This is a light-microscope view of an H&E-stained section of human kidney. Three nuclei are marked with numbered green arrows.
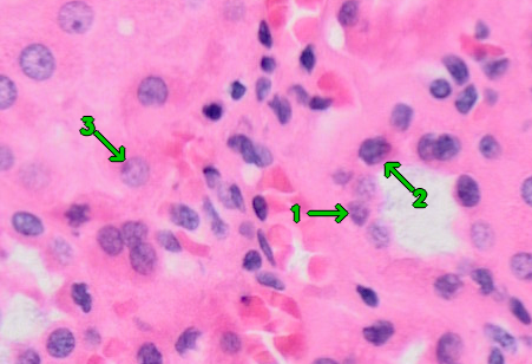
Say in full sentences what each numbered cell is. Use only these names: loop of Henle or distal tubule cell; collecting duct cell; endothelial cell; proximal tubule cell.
Cell 1 is a loop of Henle or distal tubule cell, cell 2 is a loop of Henle or distal tubule cell and cell 3 is a proximal tubule cell.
